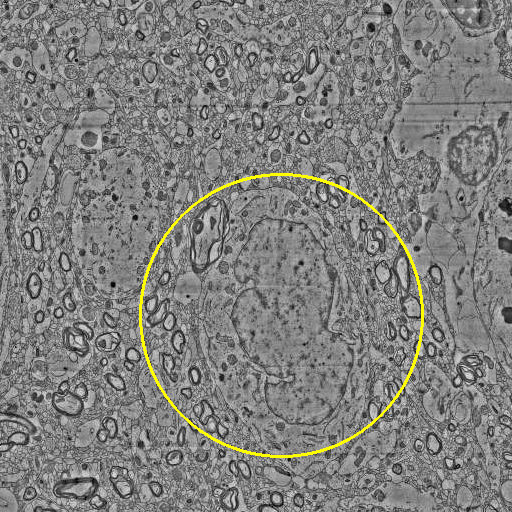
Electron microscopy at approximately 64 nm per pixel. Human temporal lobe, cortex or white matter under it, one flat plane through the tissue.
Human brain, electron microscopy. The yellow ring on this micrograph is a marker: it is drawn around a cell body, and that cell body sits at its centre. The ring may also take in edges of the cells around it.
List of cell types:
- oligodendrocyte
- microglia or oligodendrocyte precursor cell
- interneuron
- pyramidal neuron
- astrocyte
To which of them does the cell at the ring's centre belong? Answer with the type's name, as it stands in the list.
interneuron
